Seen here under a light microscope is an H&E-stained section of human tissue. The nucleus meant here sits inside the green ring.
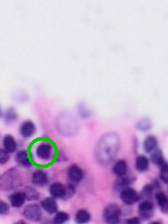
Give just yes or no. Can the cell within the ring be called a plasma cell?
no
